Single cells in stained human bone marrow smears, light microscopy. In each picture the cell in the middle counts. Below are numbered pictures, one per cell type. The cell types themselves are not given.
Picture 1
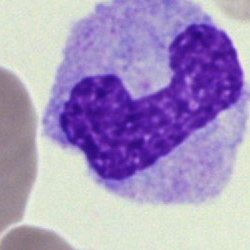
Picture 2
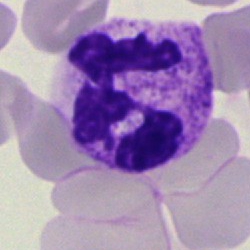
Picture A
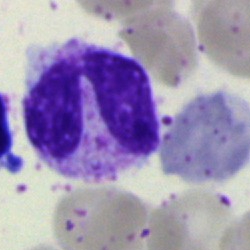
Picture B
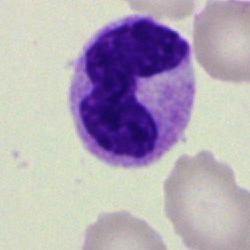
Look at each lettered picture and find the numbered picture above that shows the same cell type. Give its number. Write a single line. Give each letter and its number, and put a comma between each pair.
A 2, B 1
